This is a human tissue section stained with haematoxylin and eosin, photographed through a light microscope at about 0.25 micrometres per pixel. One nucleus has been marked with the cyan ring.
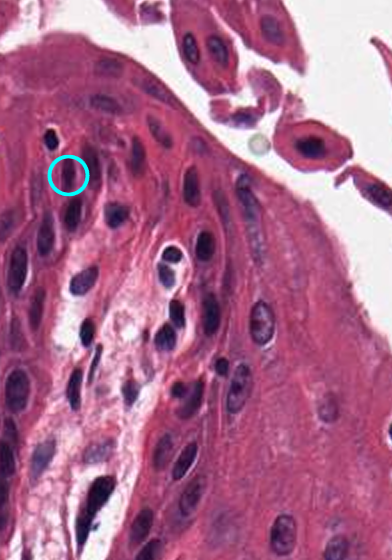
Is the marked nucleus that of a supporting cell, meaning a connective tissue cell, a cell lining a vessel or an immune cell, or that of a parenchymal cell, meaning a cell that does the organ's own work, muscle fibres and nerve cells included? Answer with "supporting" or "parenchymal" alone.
parenchymal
